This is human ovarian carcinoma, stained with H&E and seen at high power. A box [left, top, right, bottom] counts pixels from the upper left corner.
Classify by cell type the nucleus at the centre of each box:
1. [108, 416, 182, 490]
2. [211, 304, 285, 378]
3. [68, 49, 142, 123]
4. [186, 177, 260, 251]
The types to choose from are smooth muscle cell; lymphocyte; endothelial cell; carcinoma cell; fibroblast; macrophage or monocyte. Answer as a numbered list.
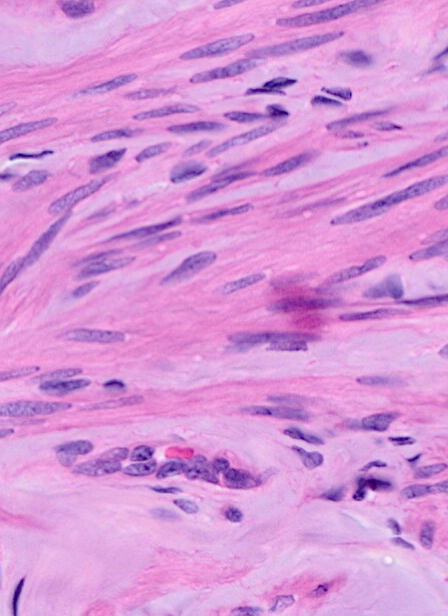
1. endothelial cell
2. smooth muscle cell
3. smooth muscle cell
4. smooth muscle cell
